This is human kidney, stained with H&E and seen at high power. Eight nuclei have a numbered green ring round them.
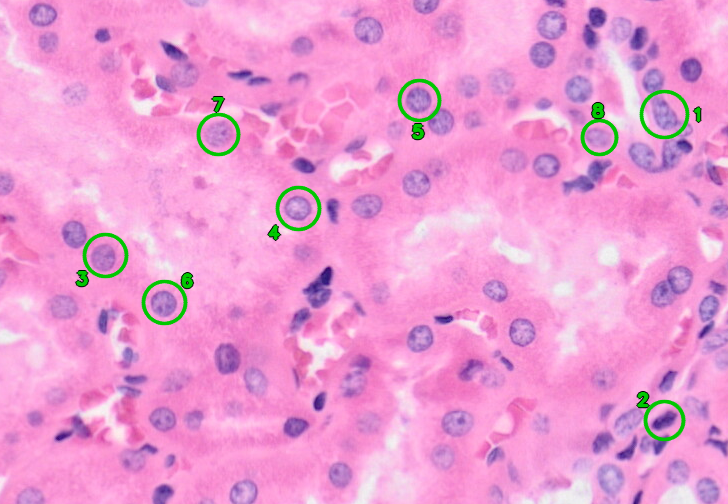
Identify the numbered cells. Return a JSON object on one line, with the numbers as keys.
{"1": "collecting duct cell", "2": "collecting duct cell", "3": "proximal tubule cell", "4": "proximal tubule cell", "5": "proximal tubule cell", "6": "proximal tubule cell", "7": "proximal tubule cell", "8": "collecting duct cell"}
